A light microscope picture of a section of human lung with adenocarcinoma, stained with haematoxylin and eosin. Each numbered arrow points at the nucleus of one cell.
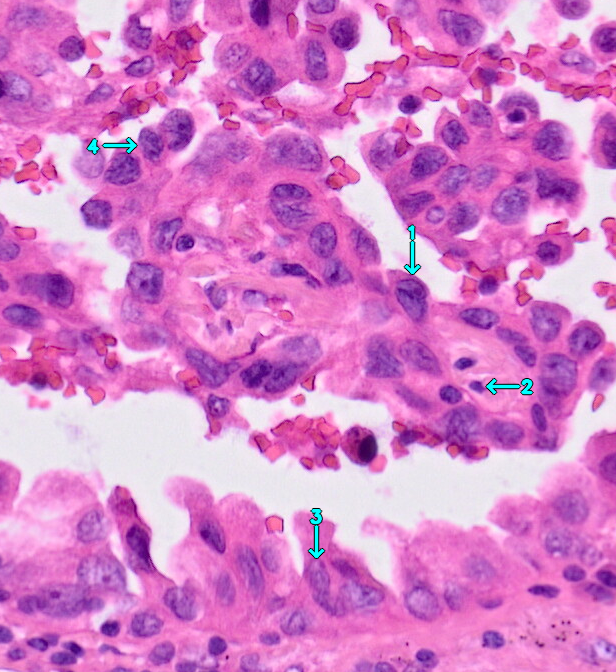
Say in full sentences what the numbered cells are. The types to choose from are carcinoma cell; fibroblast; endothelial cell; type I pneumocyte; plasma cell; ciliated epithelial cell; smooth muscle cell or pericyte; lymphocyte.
Cell 1 is a carcinoma cell, cell 2 is a lymphocyte, cell 3 is a carcinoma cell and cell 4 is a carcinoma cell.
